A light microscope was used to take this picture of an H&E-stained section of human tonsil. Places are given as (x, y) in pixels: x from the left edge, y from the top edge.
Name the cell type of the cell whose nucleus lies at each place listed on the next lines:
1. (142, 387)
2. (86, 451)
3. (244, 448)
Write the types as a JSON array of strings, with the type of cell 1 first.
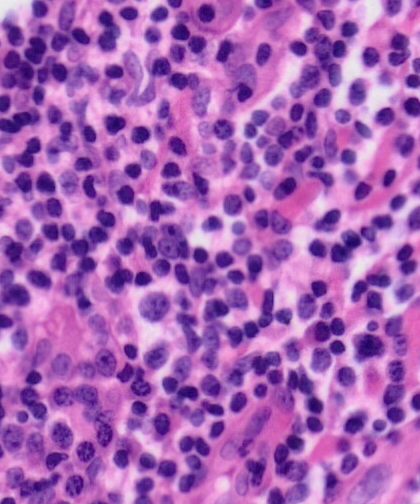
["plasma cell", "plasma cell", "endothelial cell"]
